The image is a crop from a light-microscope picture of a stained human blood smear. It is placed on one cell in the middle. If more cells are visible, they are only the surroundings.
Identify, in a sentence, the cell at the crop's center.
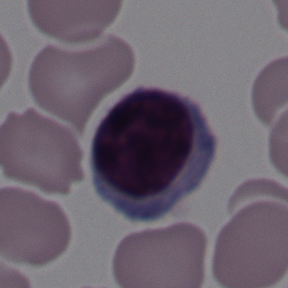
Framed in the middle of the crop is a lymphocyte.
